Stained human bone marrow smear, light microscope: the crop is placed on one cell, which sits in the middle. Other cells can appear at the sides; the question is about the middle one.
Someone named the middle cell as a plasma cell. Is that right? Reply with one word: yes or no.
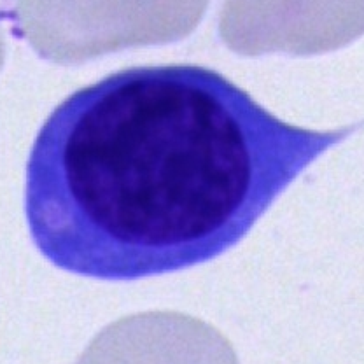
yes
